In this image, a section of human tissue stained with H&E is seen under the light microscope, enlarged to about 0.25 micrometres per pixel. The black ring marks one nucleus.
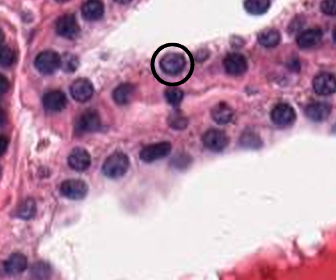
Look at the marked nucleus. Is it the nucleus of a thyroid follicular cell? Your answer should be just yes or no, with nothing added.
yes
